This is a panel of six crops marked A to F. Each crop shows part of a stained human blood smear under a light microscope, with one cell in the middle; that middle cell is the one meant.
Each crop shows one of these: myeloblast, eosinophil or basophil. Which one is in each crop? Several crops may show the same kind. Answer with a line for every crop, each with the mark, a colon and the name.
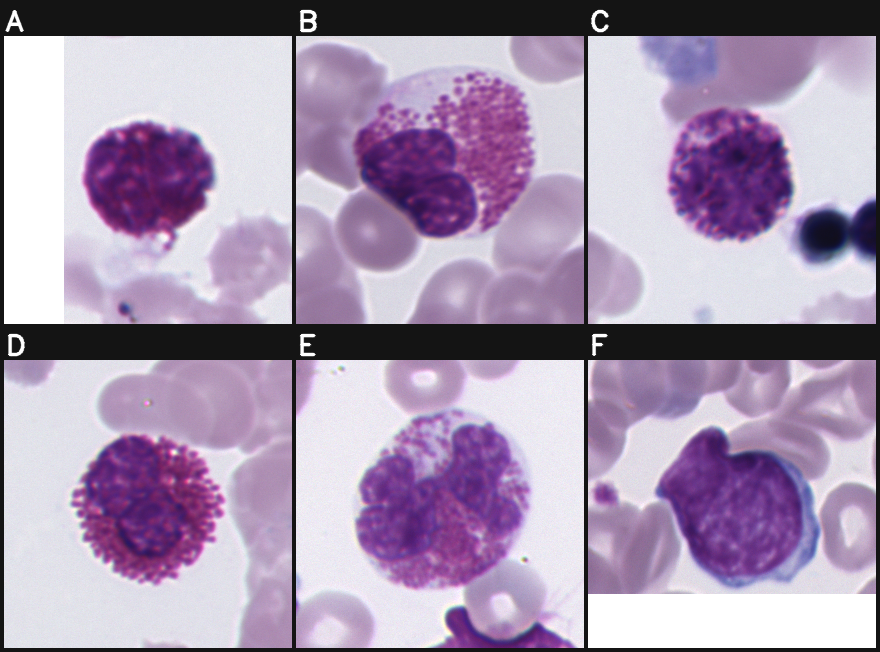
A: eosinophil
B: eosinophil
C: basophil
D: eosinophil
E: eosinophil
F: myeloblast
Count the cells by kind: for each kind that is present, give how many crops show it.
eosinophil: 4
basophil: 1
myeloblast: 1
